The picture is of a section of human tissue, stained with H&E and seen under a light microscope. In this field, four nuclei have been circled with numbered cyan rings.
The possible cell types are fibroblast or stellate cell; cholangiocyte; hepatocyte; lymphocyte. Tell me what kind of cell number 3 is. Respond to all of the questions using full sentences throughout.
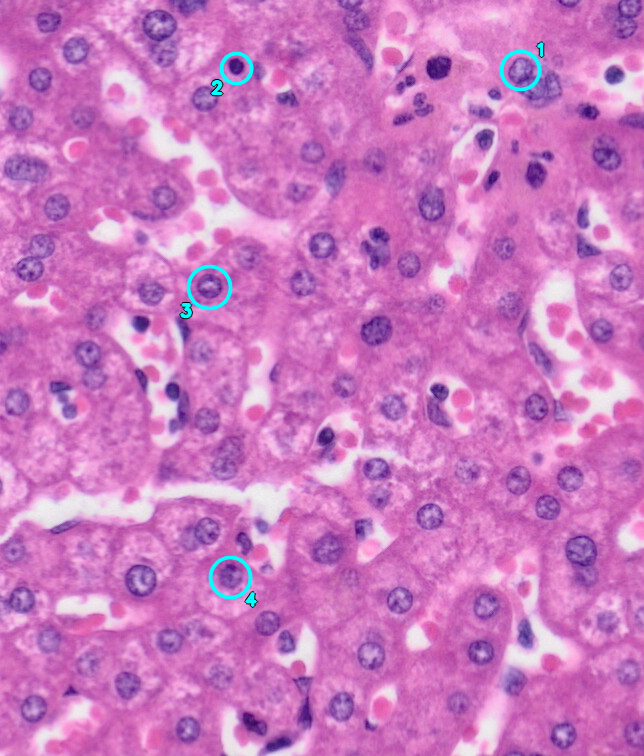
The nucleus with number 3 is that of a hepatocyte.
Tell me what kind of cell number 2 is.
Of the numbered cells, the one labelled 2 is a lymphocyte.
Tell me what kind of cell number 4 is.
Number 4 among the marked cells is a hepatocyte.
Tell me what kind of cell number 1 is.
Heads up, the cell numbered 1 is a cholangiocyte.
